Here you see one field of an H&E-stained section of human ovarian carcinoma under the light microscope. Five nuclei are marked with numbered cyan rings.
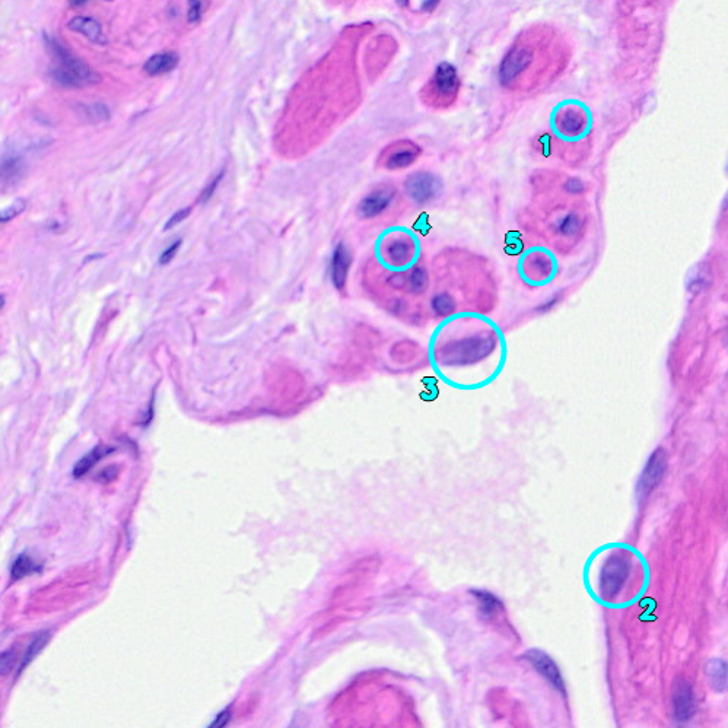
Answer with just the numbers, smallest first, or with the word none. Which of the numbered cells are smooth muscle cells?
1, 4, 5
